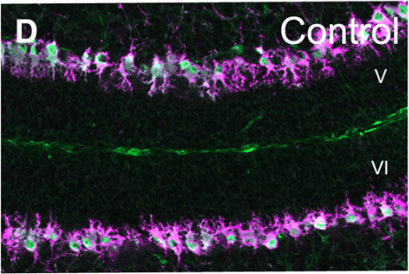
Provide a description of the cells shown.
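Two neighbouring cerebellar folia, each with a band of Purkinje cells one cell deep. The cell bodies are large and rounded, labelled both green and magenta, so that they appear whitish-pink where the colours overlap, with green-filled centres in many. Short, branched processes spread from the cell bodies in the magenta channel, giving the band a bushy outline. Between the two bands lies dark tissue with few labelled elements, crossed by a thin green line along the boundary between the folia.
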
